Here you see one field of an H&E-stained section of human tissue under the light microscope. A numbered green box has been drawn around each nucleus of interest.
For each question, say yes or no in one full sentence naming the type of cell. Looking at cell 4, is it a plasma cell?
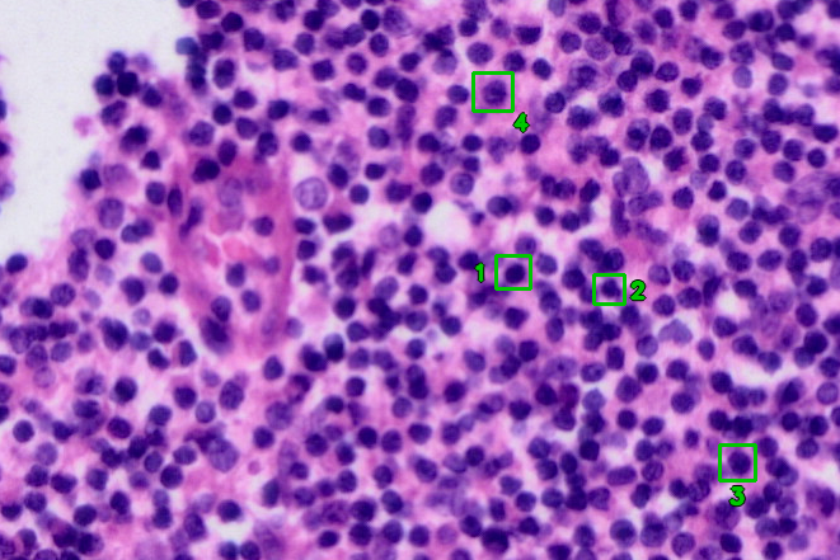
Yes, the cell with its nucleus marked 4 is a plasma cell.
